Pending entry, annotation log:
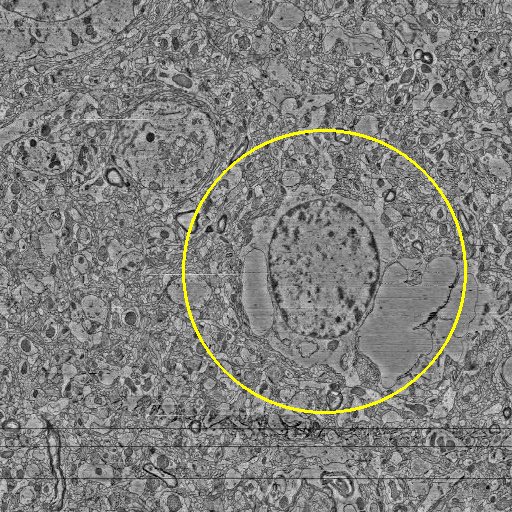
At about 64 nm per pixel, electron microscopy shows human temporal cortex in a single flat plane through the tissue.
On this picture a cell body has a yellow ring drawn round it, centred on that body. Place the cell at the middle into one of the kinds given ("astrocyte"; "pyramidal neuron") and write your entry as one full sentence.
The cell body at the middle of the yellow ring belongs to an astrocyte.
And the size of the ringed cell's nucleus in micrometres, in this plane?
Approximately 9 by 7 micrometers in this plane.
